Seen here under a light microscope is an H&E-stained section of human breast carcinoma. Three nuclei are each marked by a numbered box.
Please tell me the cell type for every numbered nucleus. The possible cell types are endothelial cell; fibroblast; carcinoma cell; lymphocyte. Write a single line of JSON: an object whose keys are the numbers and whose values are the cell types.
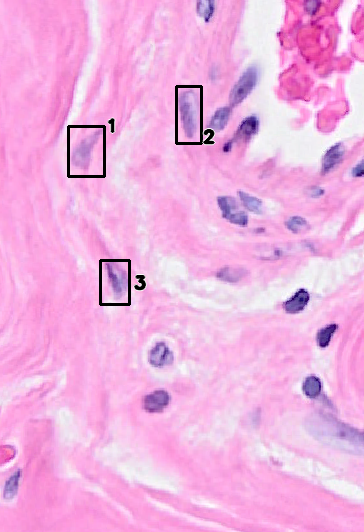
{"1": "fibroblast", "2": "endothelial cell", "3": "fibroblast"}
